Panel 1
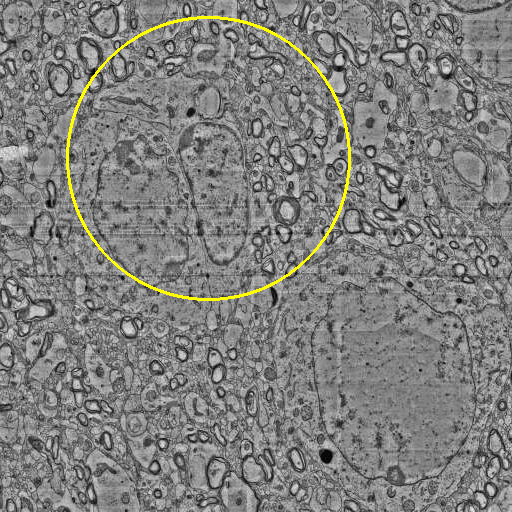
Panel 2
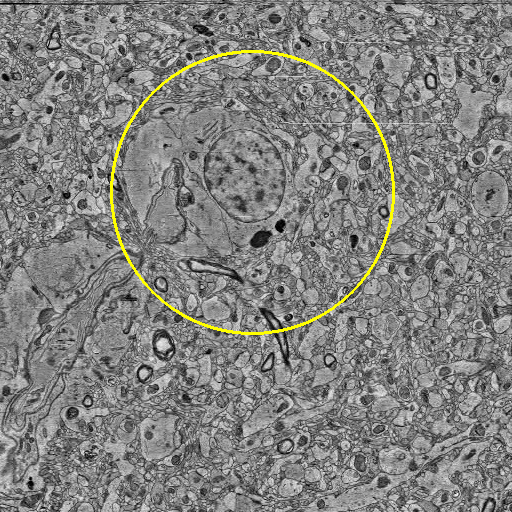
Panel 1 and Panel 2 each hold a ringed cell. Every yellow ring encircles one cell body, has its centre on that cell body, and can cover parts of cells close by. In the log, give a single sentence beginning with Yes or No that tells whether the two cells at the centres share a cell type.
Yes, in Panel 1 and Panel 2 the centred cells share a cell type.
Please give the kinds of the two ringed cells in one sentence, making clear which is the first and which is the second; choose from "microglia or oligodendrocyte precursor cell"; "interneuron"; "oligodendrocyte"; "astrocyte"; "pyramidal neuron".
Both cells are the same kind, each one being a microglial cell or oligodendrocyte precursor cell.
